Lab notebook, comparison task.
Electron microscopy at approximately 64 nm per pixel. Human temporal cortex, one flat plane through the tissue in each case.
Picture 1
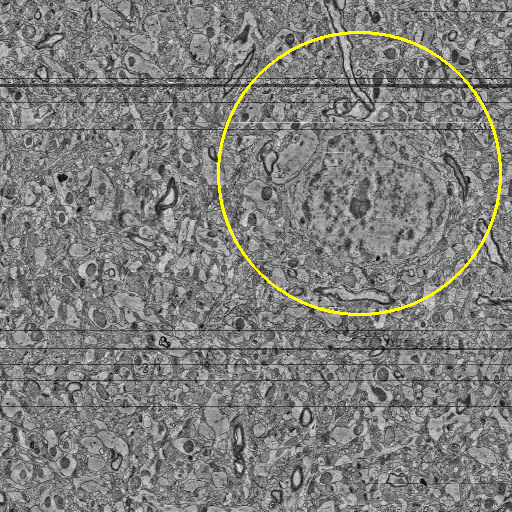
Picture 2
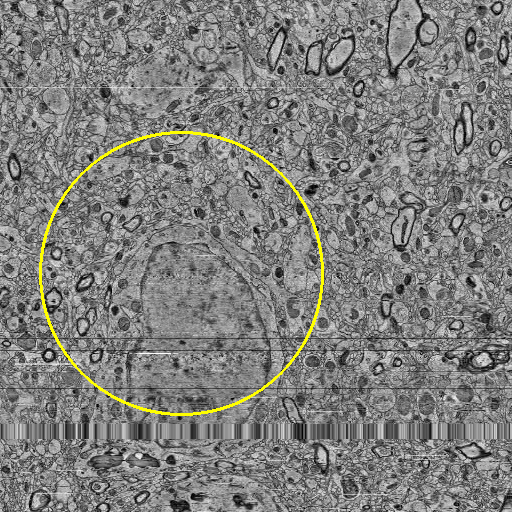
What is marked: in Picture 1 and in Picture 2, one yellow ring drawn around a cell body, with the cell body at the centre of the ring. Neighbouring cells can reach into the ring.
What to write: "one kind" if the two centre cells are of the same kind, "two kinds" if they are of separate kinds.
one kind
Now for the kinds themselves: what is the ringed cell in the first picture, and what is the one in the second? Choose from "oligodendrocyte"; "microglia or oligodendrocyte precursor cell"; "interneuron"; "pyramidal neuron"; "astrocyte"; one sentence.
The second cell is an interneuron, just as the first is.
